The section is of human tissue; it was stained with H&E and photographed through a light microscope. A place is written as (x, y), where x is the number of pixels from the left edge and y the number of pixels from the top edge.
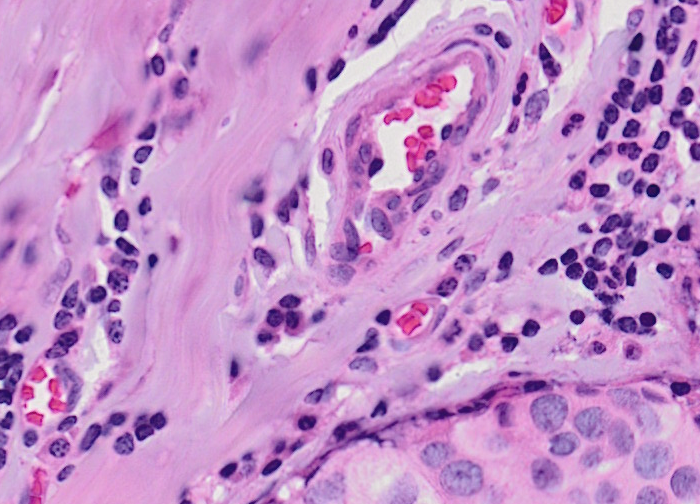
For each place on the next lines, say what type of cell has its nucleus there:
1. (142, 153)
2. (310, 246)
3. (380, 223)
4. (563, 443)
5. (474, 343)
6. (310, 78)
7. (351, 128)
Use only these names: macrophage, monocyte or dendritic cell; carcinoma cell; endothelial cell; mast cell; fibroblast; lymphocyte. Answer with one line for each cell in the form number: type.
1: lymphocyte
2: fibroblast
3: endothelial cell
4: carcinoma cell
5: lymphocyte
6: lymphocyte
7: endothelial cell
